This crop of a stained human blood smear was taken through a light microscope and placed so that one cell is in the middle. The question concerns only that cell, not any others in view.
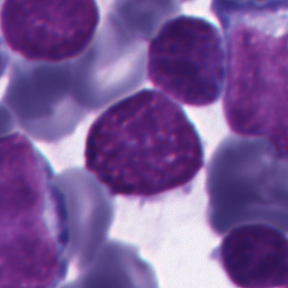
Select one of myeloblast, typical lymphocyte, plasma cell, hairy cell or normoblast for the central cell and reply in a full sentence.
The crop shows a myeloblast in its centre.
